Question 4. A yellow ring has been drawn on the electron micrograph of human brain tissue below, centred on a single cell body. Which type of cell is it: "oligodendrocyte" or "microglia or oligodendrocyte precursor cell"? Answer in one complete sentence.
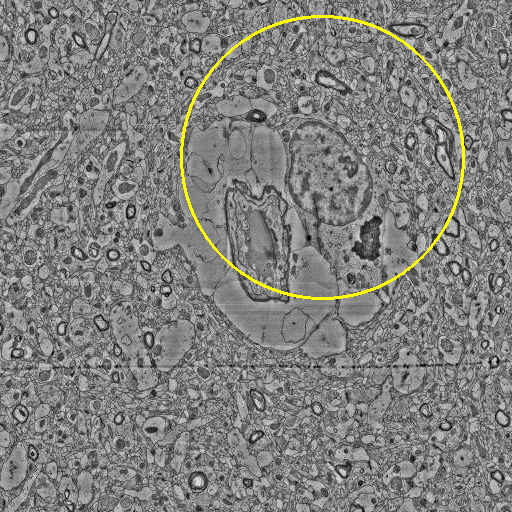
This cell body belongs to an oligodendrocyte.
